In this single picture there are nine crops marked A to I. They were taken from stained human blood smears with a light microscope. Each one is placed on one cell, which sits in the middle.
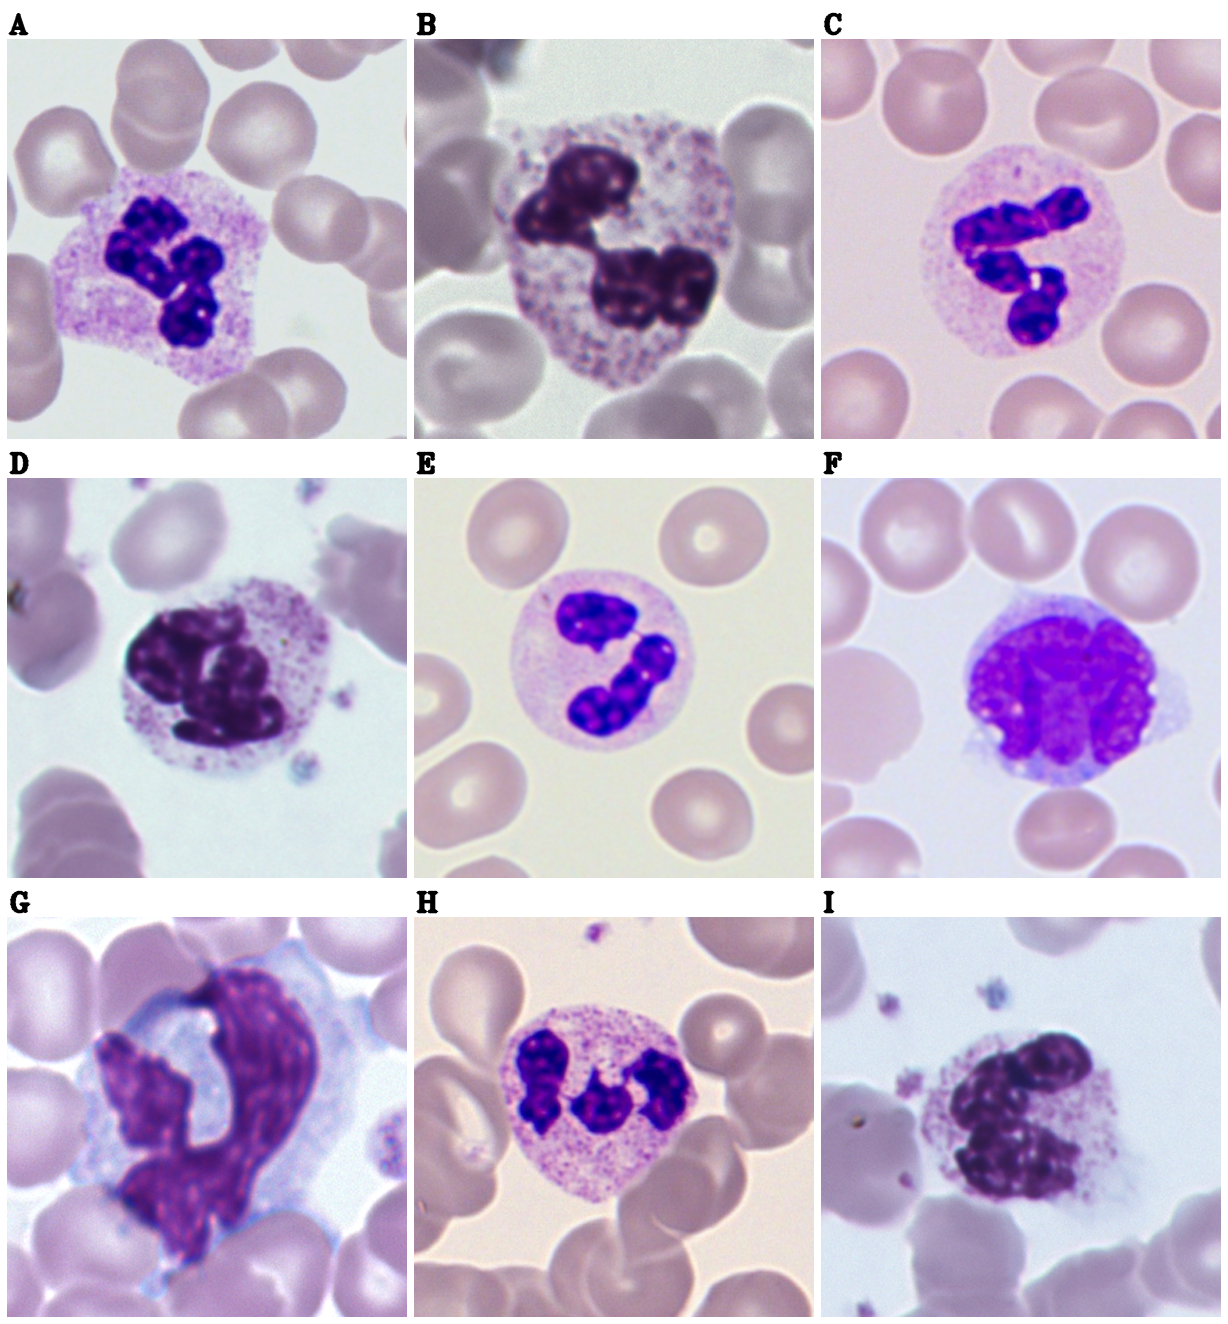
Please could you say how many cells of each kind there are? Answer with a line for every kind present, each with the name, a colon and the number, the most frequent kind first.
segmented neutrophil: 7
monocyte: 2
